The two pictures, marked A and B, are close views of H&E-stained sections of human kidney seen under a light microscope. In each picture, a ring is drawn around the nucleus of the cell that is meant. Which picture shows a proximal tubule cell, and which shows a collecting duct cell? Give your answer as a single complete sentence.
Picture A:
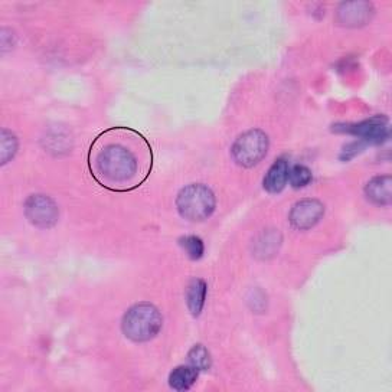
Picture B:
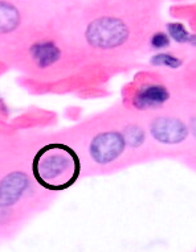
Picture A is of a proximal tubule cell, and picture B is of a collecting duct cell.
